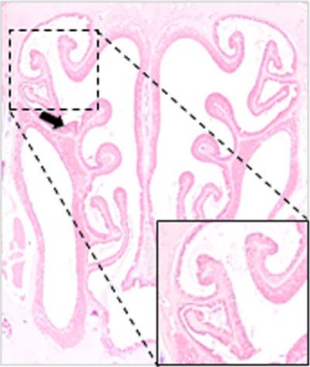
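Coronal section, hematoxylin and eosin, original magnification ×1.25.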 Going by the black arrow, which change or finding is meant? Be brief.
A: nasal polypoid lesions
